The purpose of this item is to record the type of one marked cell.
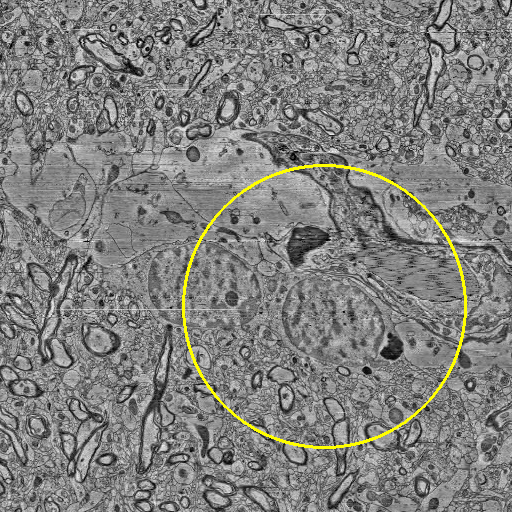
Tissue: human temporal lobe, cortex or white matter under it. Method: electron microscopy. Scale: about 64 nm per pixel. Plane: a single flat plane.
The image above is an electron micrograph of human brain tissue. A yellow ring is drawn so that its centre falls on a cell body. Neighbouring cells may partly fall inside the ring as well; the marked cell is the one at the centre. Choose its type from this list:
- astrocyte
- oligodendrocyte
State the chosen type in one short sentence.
What the ring marks here is an oligodendrocyte.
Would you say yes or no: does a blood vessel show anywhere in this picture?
Yes, the image shows a blood vessel.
